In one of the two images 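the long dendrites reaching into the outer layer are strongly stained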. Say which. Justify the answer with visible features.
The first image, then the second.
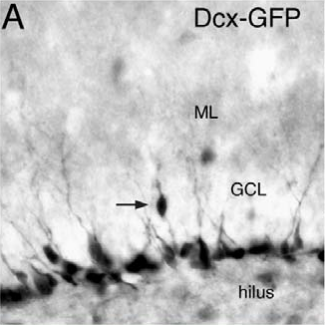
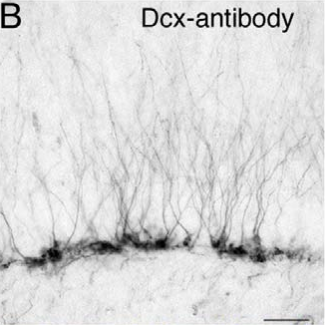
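Second image: dense, dark, branching processes extend far upward from the cell row. First image: cell bodies are dark but the processes above them are faint and short. On this evidence: the second image.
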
